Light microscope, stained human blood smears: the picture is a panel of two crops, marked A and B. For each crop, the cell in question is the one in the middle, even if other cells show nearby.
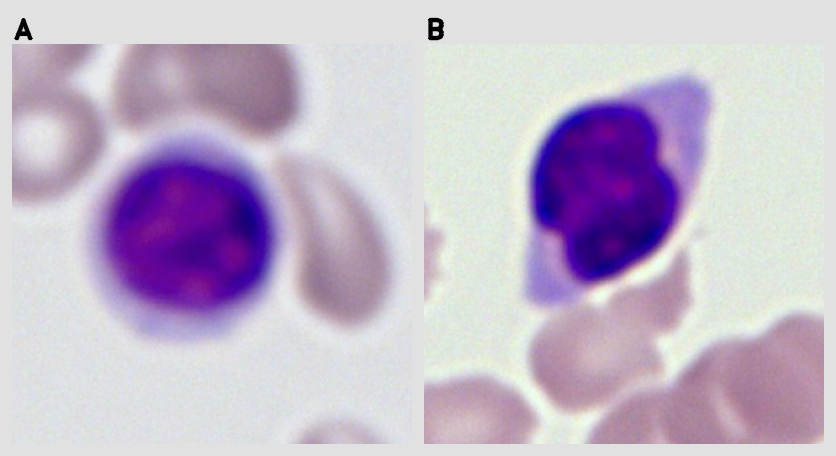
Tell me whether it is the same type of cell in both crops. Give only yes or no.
yes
